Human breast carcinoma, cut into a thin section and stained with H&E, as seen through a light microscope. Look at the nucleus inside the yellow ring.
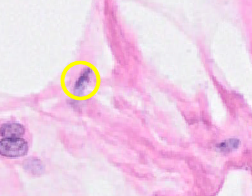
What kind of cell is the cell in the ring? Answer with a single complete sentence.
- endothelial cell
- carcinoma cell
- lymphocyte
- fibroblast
It is as a fibroblast that the cell in the ring is classified.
